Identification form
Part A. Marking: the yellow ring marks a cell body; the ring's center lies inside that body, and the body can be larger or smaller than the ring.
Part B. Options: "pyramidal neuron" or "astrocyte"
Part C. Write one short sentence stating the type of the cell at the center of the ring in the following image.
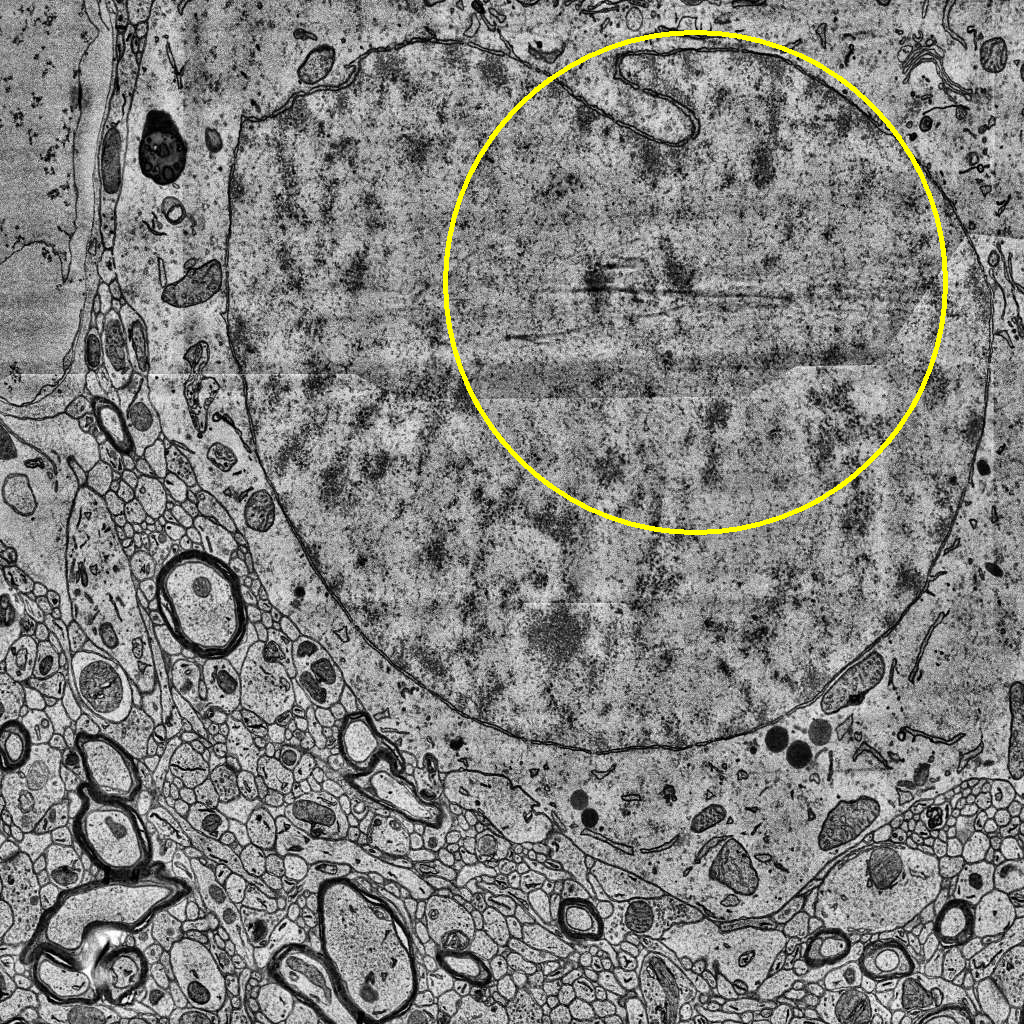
The center of the ring holds a pyramidal neuron.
